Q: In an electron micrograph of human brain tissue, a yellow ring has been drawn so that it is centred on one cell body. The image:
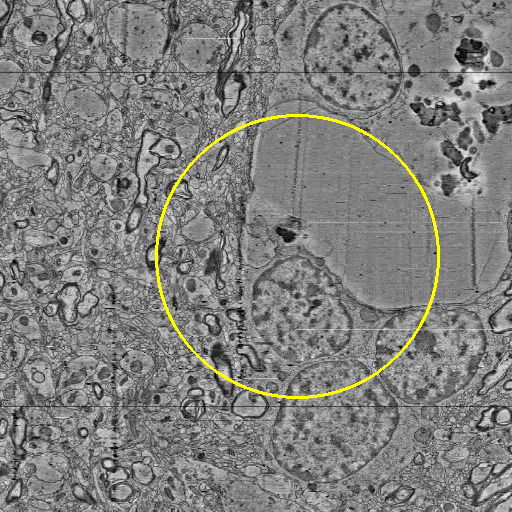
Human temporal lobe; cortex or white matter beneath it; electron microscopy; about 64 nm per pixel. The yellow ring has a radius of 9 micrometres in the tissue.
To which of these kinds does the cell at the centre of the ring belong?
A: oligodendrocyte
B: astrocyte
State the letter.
A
